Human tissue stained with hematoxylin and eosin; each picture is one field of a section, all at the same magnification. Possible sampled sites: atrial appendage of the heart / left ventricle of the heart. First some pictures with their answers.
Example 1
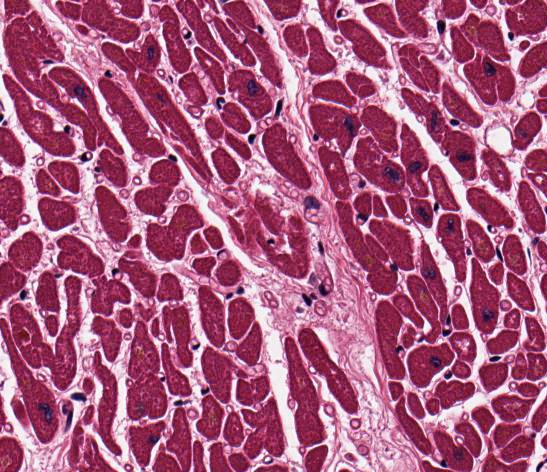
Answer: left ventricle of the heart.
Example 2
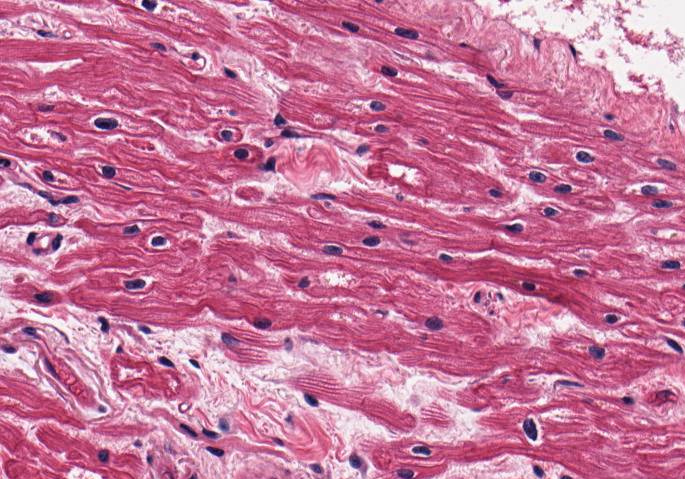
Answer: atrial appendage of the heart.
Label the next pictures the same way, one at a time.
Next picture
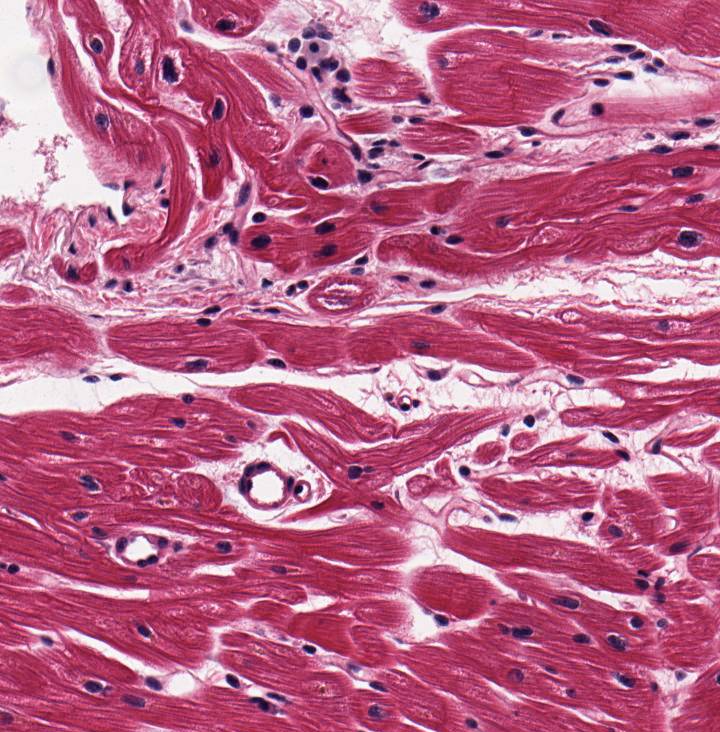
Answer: left ventricle of the heart.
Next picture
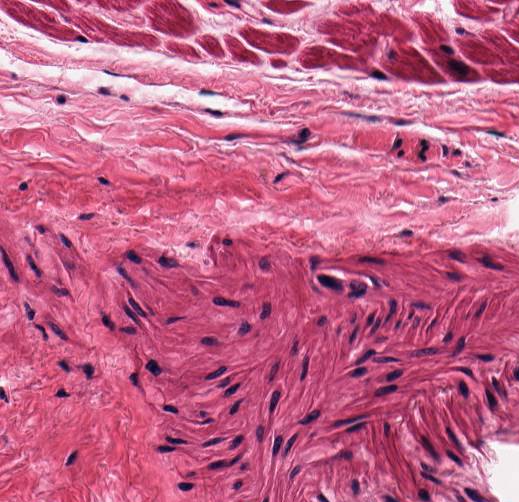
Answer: atrial appendage of the heart.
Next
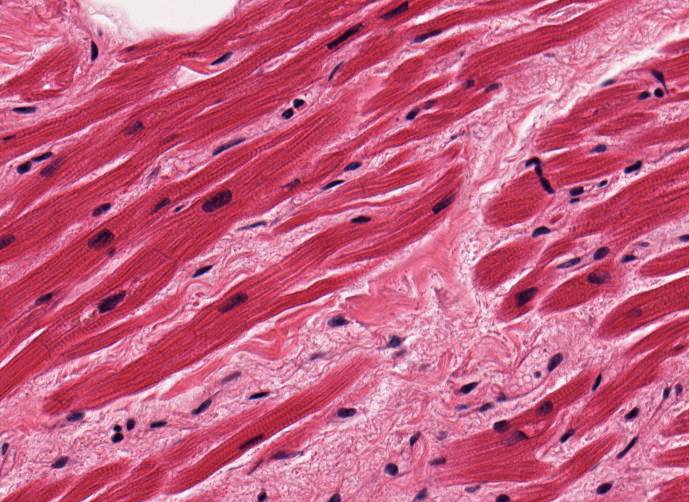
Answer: atrial appendage of the heart.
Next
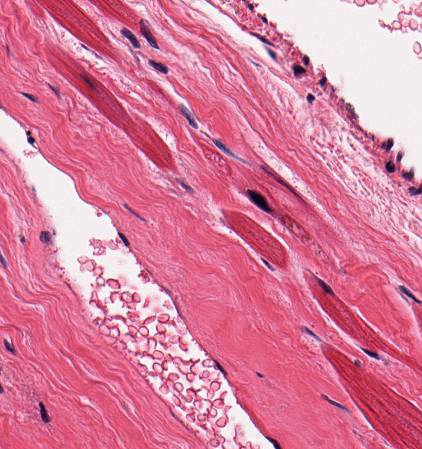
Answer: left ventricle of the heart.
